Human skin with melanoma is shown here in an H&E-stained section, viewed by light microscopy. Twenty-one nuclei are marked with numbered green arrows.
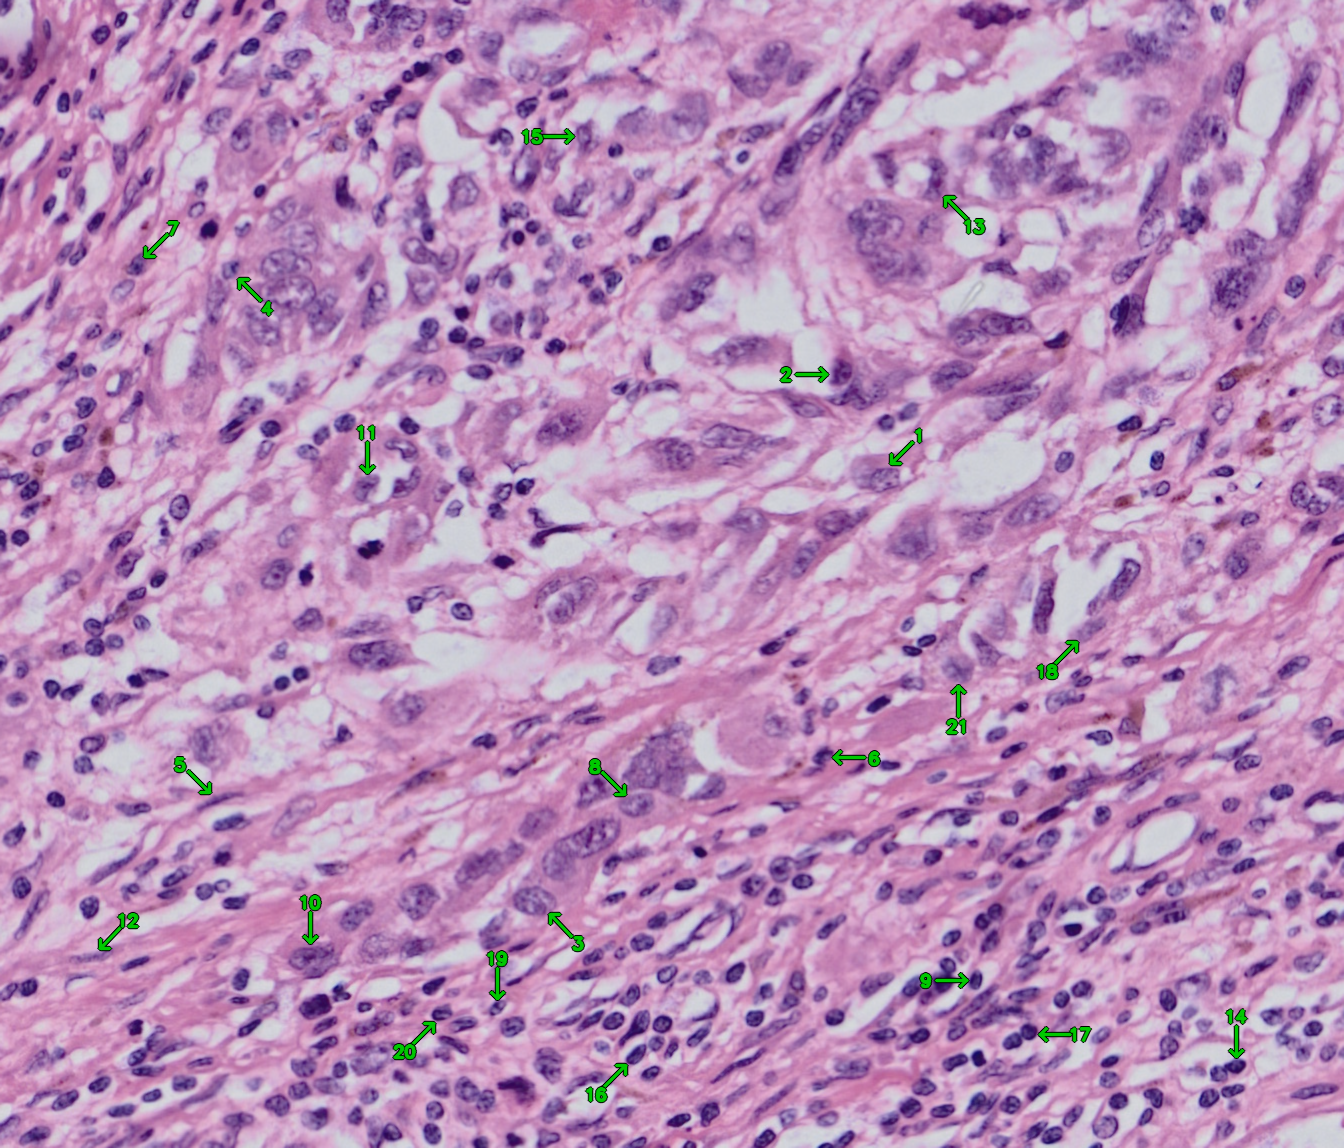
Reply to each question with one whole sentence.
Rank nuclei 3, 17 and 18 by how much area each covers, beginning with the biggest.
The nuclei rank 3, 18, 17, from largest to smallest.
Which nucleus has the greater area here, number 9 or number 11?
At about 2 times the area of nucleus 9, nucleus 11 is the larger of the two.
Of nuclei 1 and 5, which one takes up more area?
Nucleus 1 is the larger one, covering about 3 times the area of nucleus 5.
